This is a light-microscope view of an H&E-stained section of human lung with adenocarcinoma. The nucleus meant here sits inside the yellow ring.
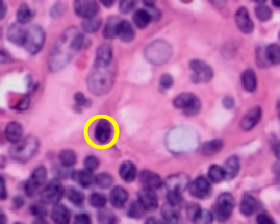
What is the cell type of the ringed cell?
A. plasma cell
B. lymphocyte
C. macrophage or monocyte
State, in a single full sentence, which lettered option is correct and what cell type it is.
The correct identification, the ringed cell as a lymphocyte, is given by option B.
